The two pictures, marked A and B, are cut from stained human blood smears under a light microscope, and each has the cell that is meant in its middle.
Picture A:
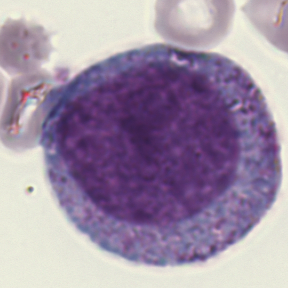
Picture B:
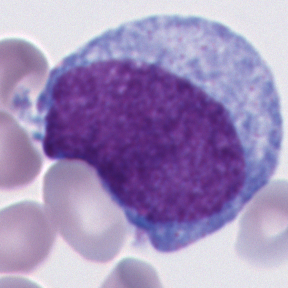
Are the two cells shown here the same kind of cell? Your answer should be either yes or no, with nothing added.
yes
